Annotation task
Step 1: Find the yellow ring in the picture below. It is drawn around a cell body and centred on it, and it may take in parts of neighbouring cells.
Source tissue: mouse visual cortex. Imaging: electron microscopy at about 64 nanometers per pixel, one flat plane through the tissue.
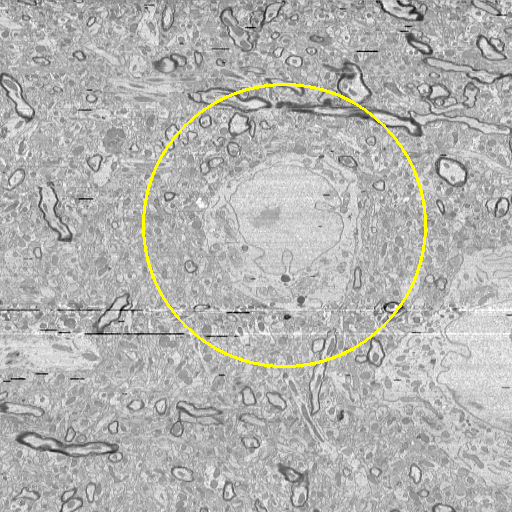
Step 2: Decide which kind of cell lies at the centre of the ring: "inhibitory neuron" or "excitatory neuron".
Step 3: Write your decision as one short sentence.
The kind of cell at the ring's centre is an excitatory neuron.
